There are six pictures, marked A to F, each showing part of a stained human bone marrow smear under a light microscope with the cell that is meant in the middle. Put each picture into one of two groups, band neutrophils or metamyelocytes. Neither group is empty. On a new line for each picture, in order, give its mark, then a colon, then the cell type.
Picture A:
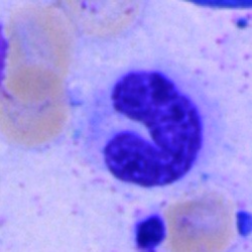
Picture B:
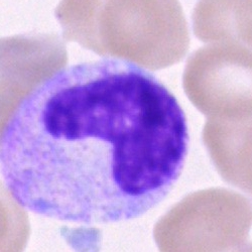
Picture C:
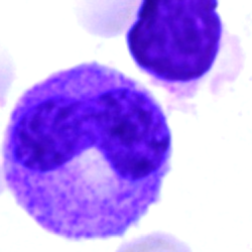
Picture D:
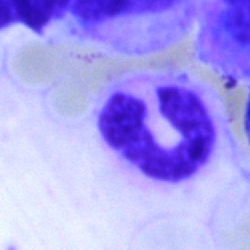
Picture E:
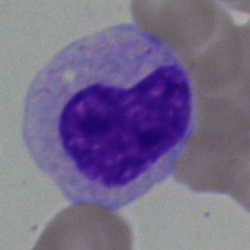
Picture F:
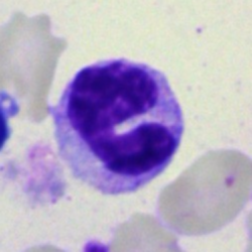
A: band neutrophil
B: metamyelocyte
C: band neutrophil
D: band neutrophil
E: metamyelocyte
F: band neutrophil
